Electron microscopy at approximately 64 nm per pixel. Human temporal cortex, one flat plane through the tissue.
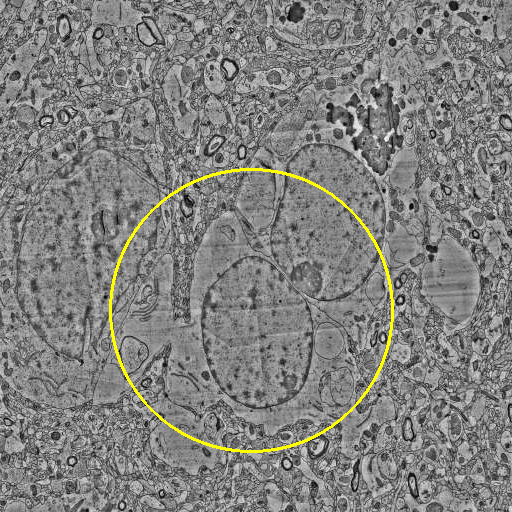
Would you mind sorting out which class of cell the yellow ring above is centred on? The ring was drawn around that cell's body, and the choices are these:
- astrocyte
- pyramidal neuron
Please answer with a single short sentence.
This is the cell body of an astrocyte.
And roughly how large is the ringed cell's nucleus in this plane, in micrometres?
The nucleus comes to roughly 10 by 7 micrometres in this plane.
